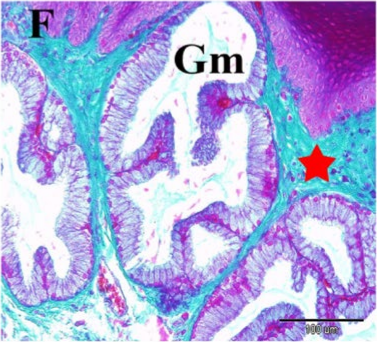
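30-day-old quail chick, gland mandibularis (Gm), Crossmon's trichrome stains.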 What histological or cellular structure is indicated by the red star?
Thick connective tissue septa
